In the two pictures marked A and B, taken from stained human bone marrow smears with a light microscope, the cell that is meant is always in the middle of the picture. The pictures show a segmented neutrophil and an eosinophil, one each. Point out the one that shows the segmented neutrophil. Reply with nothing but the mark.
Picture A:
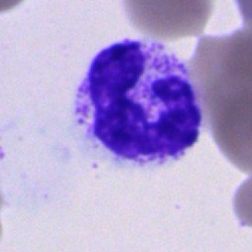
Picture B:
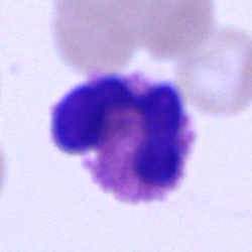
A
